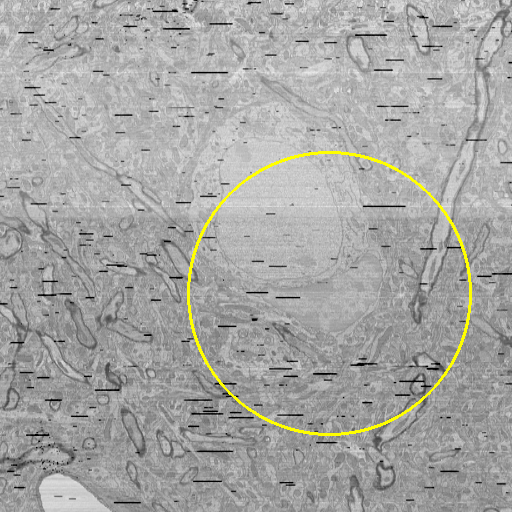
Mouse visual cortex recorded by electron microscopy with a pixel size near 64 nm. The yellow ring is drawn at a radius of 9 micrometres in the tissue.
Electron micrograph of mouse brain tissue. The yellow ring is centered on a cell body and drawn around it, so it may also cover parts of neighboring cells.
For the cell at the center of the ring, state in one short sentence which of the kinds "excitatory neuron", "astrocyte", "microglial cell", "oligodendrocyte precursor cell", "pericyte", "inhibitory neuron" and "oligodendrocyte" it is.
This ring is centered on a microglial cell.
